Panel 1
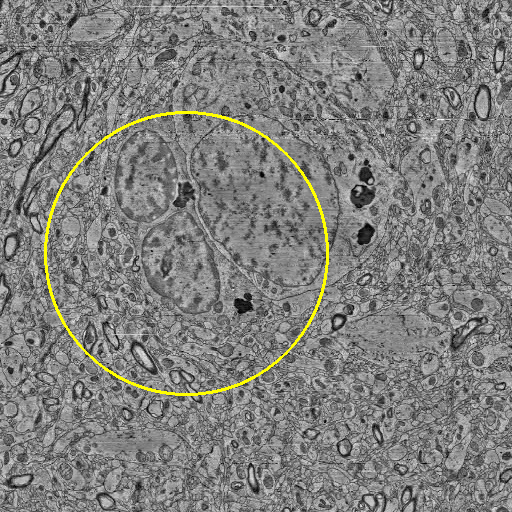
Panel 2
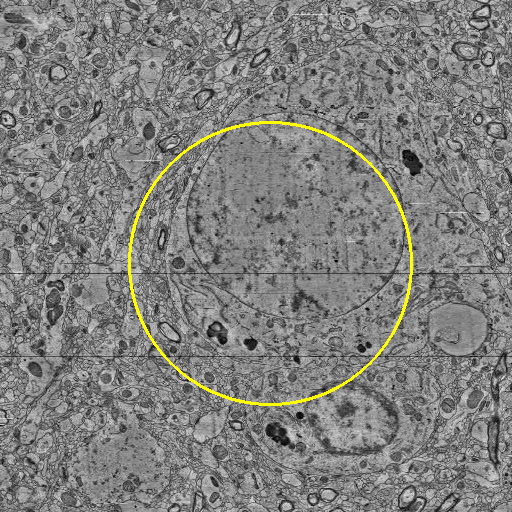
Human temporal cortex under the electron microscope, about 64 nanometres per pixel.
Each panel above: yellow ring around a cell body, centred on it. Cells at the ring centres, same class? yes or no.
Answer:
no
